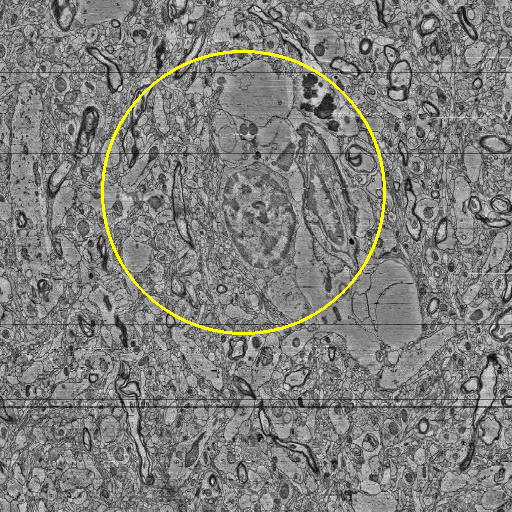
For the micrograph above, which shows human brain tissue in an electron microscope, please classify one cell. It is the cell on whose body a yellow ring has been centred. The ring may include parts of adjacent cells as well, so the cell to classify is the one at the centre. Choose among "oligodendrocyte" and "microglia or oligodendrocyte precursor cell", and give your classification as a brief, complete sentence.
I classify this cell as an oligodendrocyte.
